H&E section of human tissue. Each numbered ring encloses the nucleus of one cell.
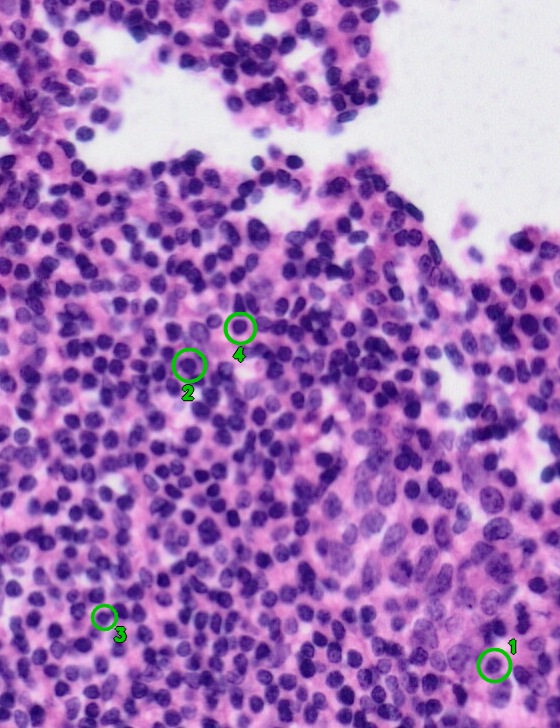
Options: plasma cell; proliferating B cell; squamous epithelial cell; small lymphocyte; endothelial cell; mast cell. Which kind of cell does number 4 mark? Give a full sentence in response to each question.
The cell pointed out as number 4 is a small lymphocyte.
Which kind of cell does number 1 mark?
The cell numbered 1 represents a proliferating B cell.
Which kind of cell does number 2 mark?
The cell identified by number 2 is a small lymphocyte.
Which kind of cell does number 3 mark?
In the marked set, the cell given number 3 is a small lymphocyte.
